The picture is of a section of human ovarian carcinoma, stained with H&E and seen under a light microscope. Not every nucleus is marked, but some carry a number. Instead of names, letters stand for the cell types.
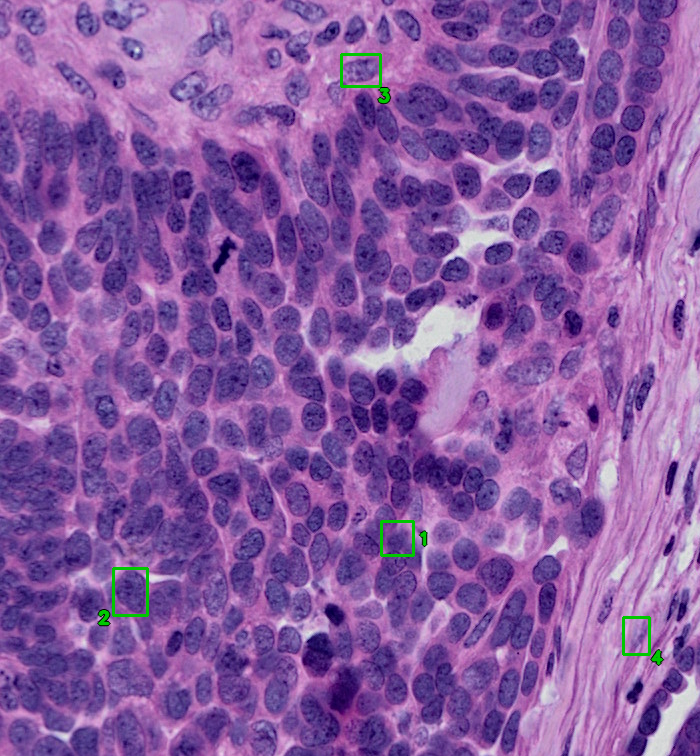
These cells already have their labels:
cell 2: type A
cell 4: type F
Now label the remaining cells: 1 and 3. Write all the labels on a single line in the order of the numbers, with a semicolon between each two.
type A; type F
